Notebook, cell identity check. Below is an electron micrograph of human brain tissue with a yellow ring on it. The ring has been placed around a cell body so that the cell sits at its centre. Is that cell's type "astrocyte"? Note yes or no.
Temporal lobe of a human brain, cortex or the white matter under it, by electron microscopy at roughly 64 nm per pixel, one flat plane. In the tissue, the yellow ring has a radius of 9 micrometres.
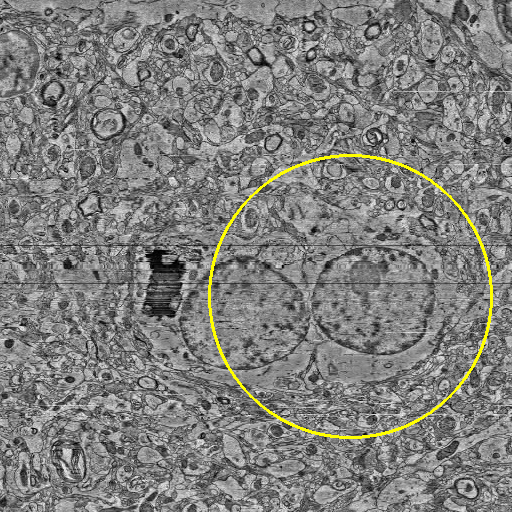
Yes, that is its cell type.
